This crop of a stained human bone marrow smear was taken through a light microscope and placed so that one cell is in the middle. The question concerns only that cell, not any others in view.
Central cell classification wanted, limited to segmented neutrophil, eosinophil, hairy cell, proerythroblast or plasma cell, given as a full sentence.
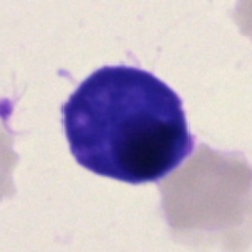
The central cell shown in this smear crop is a plasma cell.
